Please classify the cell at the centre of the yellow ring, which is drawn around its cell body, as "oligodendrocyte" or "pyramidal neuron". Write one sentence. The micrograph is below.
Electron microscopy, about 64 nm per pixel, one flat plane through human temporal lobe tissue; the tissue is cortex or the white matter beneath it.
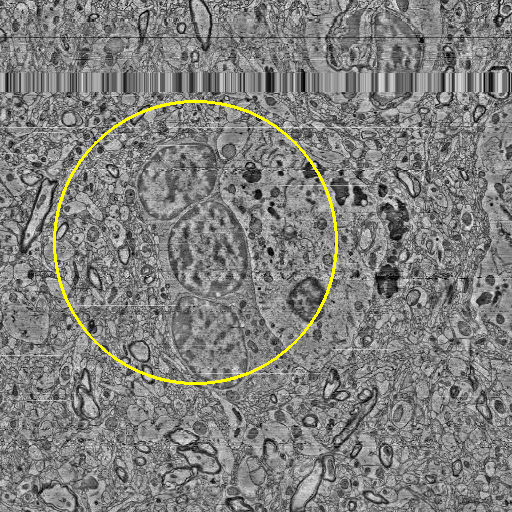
The cell at the ring's centre is classified as an oligodendrocyte.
